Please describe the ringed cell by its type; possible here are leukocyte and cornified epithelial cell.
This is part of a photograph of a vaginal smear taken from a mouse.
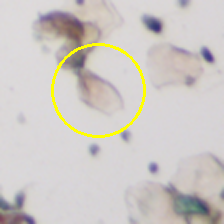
The yellow ring marks a cornified epithelial cell.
